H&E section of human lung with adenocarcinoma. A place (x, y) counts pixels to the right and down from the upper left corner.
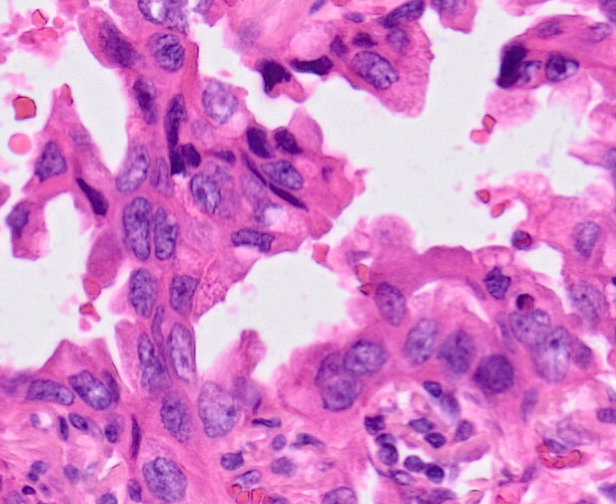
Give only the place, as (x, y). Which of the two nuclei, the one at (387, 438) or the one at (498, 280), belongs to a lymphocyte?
(387, 438)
